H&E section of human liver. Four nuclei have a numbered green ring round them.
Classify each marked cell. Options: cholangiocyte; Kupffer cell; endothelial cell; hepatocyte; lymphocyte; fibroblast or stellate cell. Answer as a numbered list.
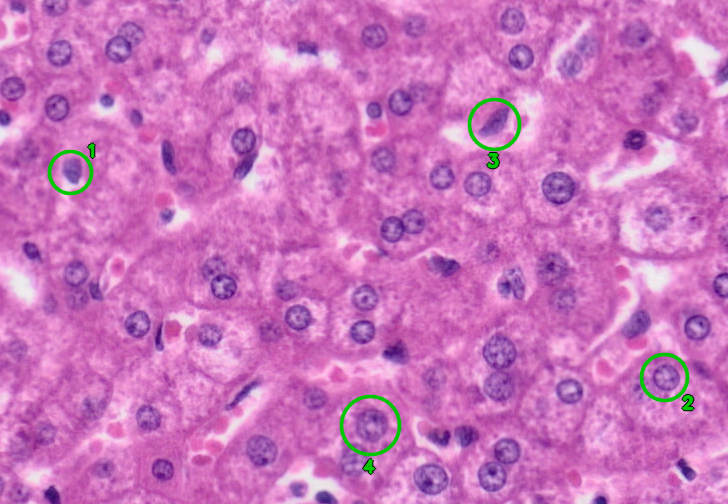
1. endothelial cell
2. hepatocyte
3. Kupffer cell
4. hepatocyte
